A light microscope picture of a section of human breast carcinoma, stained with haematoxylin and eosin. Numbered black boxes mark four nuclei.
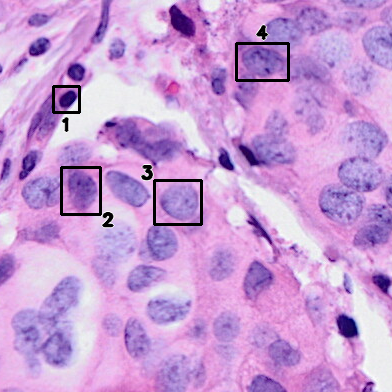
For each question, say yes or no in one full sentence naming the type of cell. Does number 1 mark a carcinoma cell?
No, the cell marked 1 is a lymphocyte rather than a carcinoma cell.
